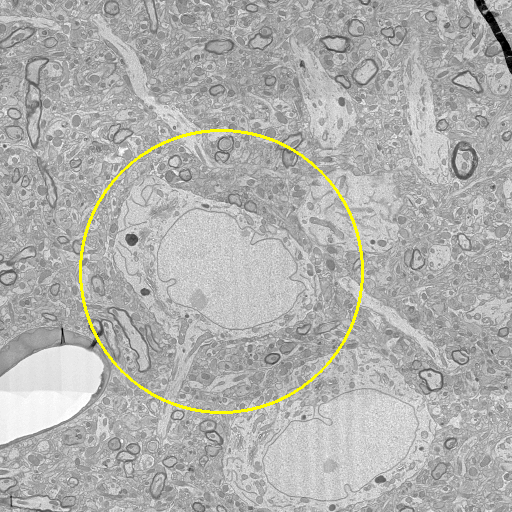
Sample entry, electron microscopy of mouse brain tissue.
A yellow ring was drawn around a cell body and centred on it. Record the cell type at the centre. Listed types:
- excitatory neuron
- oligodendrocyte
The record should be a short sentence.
The cell at the ring's centre is an excitatory neuron.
